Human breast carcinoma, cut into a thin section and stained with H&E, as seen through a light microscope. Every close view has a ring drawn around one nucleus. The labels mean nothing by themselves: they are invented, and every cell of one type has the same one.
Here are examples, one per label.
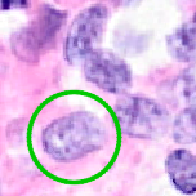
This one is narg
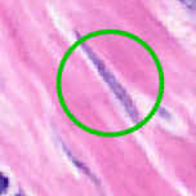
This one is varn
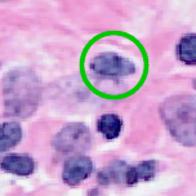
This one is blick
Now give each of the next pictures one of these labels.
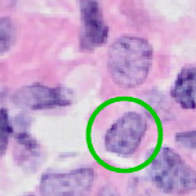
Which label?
narg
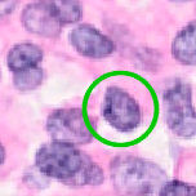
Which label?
narg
